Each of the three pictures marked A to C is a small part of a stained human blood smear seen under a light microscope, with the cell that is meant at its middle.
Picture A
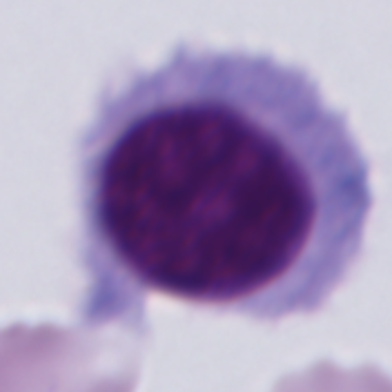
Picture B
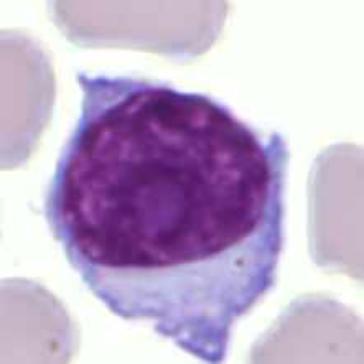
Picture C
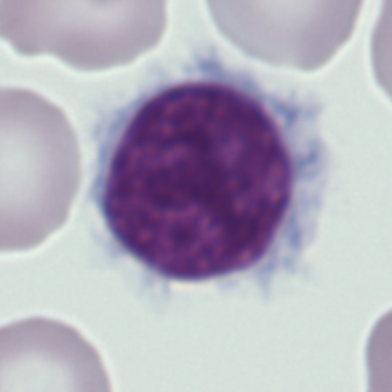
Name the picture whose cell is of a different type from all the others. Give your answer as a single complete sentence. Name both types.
The others show hairy cells, but picture B shows a plasma cell.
